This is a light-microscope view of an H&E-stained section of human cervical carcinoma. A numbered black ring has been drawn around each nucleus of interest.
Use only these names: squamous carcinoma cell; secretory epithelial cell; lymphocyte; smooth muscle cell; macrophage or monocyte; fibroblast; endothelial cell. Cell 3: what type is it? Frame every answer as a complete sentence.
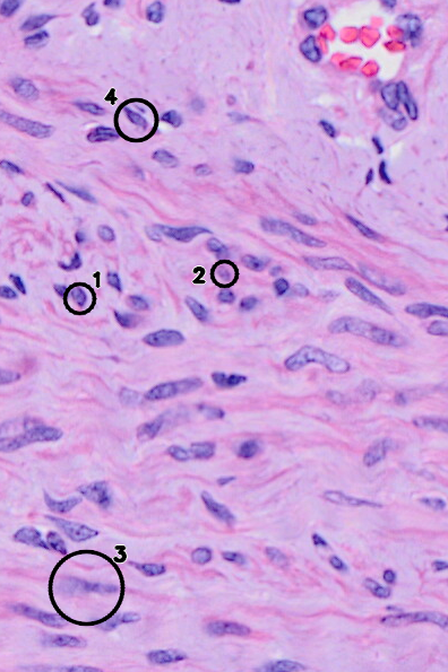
The marked cell with the number 3 is recognised as a smooth muscle cell.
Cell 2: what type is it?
In this section, the cell numbered 2 is a smooth muscle cell.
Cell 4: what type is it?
The cell given label 4 is a fibroblast.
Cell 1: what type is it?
Cell 1, among those numbered, is a smooth muscle cell.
